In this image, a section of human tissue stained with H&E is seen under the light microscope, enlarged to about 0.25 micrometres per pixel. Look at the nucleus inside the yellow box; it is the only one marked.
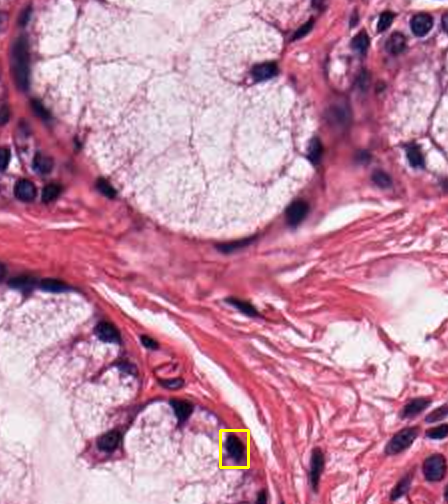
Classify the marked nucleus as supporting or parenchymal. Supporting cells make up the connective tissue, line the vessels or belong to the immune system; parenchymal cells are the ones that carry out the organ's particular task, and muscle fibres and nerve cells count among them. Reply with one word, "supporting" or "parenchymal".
parenchymal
